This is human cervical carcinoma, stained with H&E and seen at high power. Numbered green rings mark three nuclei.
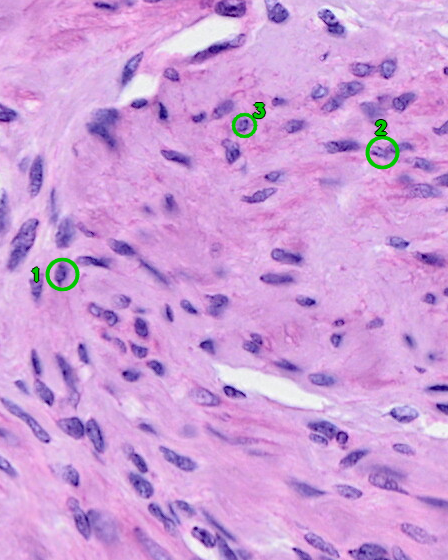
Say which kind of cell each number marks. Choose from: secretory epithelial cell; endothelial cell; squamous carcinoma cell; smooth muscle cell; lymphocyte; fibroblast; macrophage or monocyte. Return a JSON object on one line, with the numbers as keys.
{"1": "fibroblast", "2": "smooth muscle cell", "3": "smooth muscle cell"}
